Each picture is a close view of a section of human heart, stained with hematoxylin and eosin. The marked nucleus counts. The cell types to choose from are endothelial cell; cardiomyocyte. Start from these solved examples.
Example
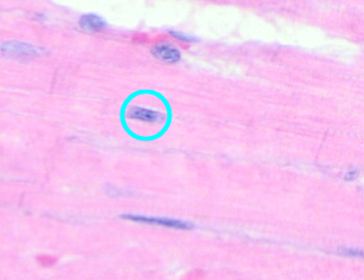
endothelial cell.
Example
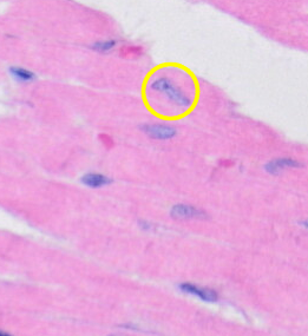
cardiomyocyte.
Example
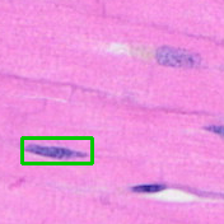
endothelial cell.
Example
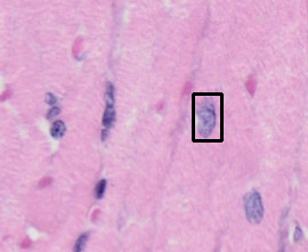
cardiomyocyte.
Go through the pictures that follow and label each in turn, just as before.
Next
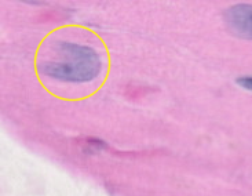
cardiomyocyte.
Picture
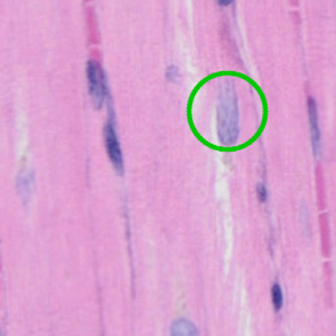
cardiomyocyte.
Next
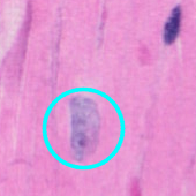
cardiomyocyte.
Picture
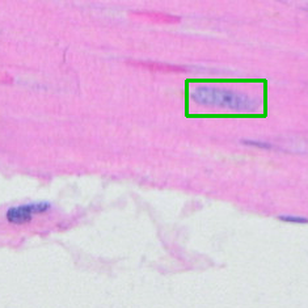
cardiomyocyte.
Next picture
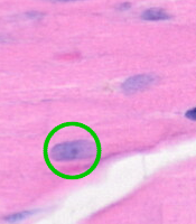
cardiomyocyte.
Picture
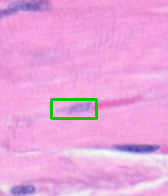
endothelial cell.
